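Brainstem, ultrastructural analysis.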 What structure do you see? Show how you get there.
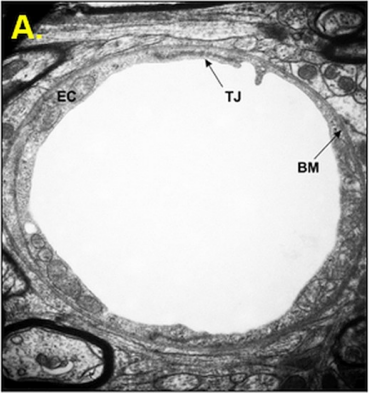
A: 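Brain capillaries. A round empty lumen fills the centre of the panel. A thin cell wall rims the lumen. Myelinated axons lie in the tissue around the wall.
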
